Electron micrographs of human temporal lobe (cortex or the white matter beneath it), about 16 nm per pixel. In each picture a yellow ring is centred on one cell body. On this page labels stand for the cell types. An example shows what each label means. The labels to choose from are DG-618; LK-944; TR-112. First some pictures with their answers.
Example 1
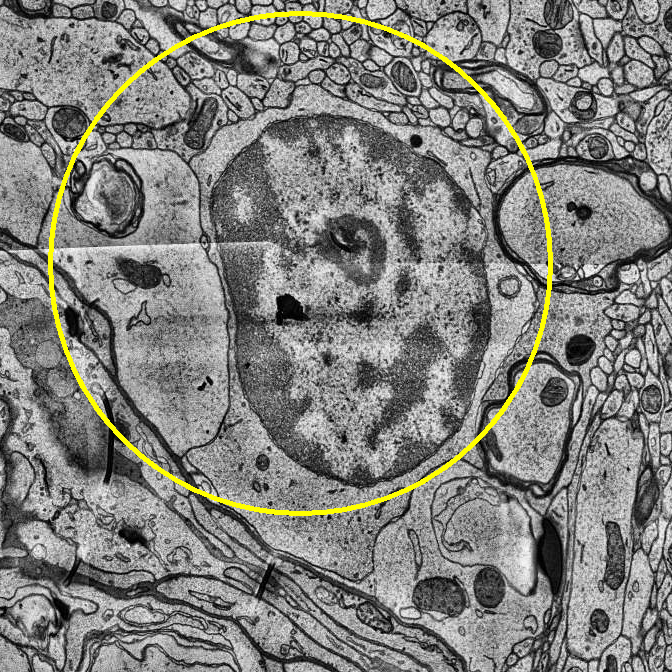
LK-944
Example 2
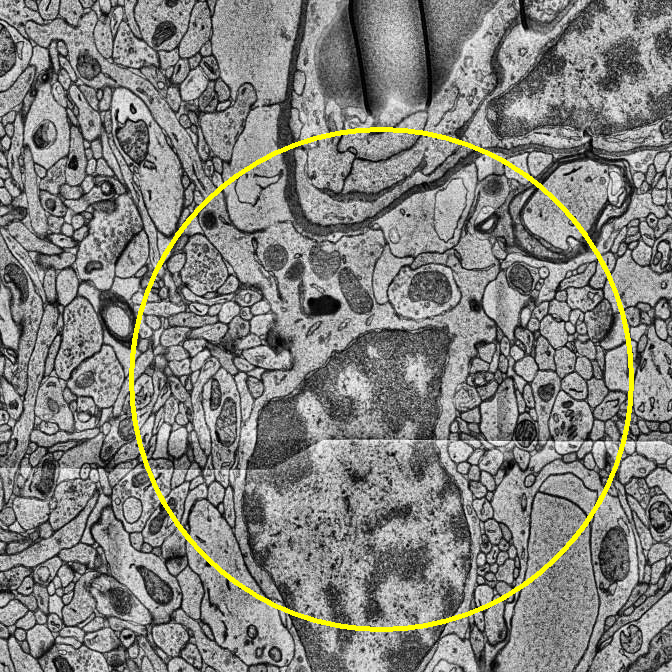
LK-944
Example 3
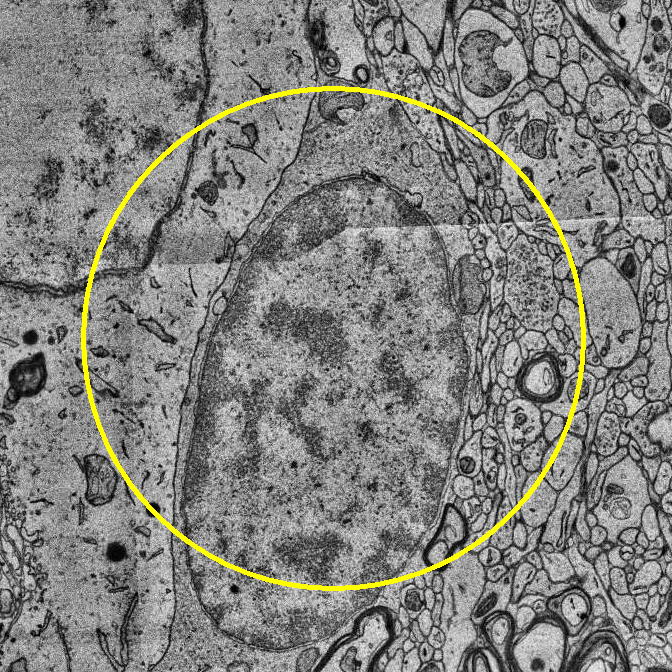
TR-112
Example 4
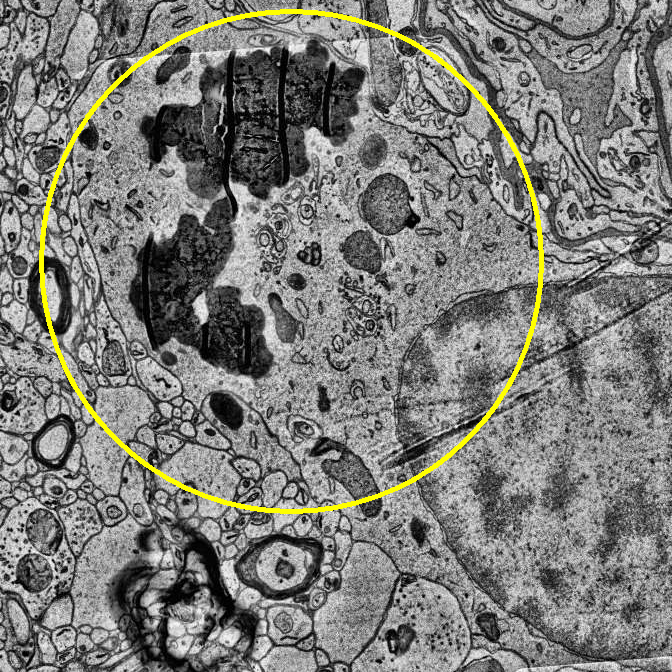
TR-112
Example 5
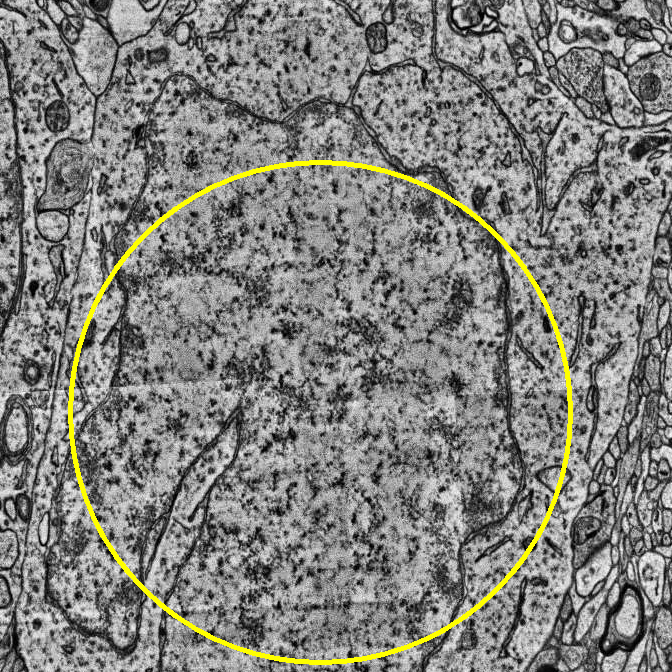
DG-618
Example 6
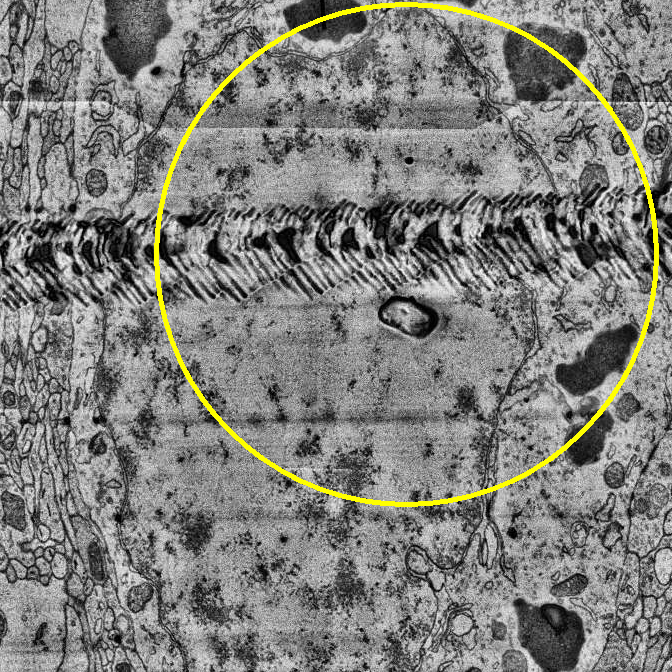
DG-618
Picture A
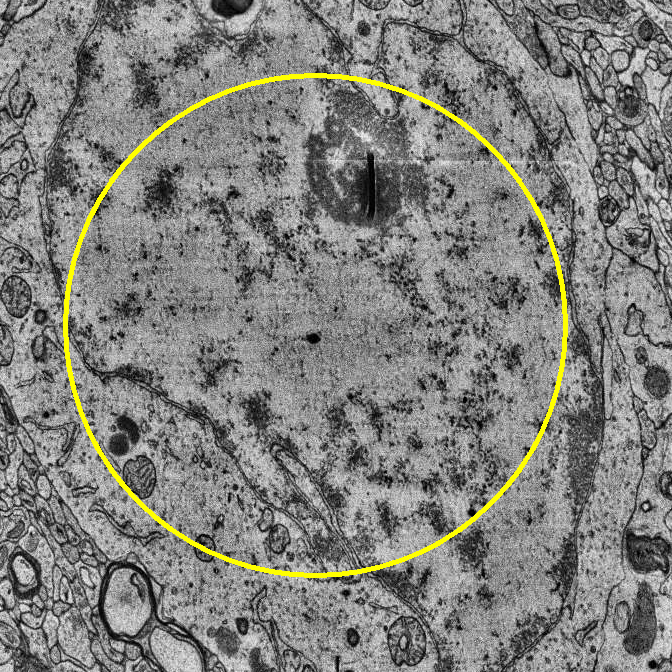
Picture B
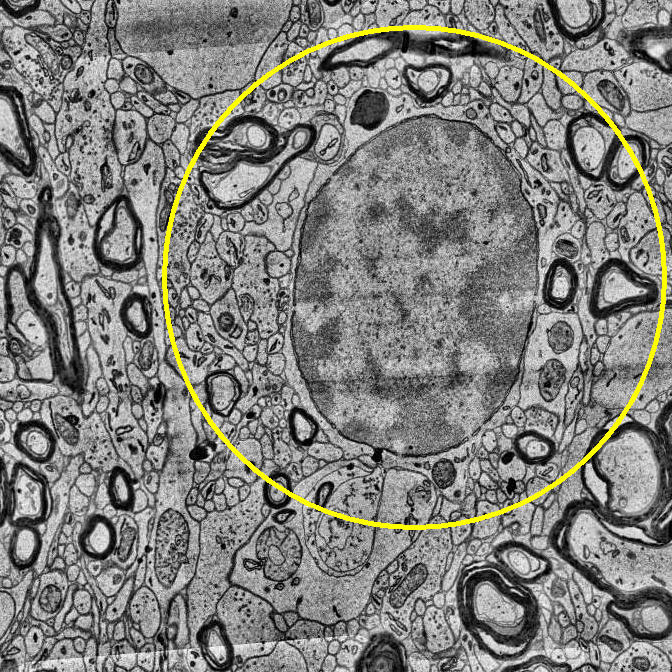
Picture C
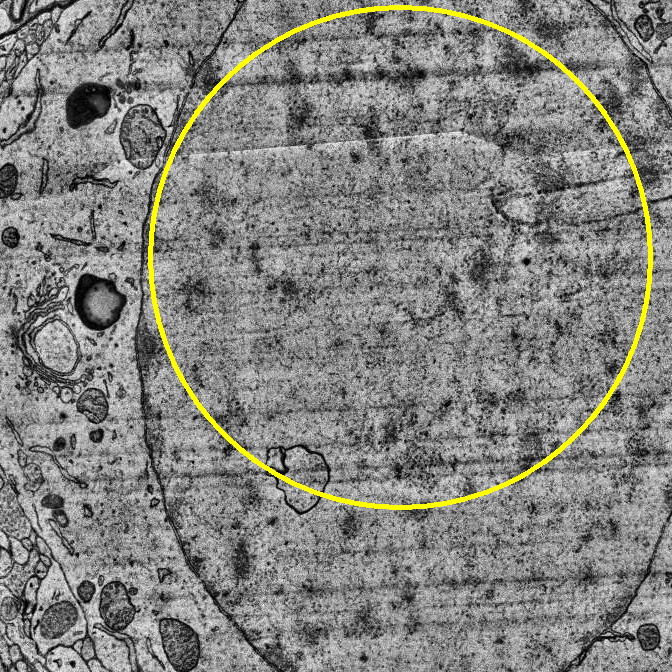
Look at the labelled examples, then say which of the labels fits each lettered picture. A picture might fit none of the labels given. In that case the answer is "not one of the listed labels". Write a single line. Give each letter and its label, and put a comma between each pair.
A DG-618, B LK-944, C not one of the listed labels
